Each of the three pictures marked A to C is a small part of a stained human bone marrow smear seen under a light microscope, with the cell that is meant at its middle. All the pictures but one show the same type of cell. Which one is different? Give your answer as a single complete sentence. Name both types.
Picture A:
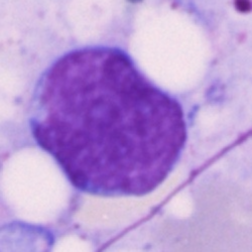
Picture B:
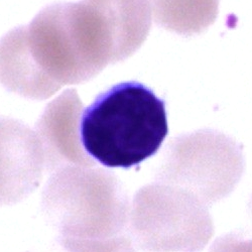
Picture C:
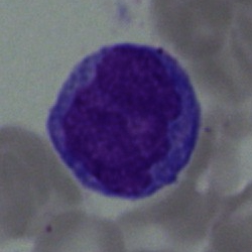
All pictures except B show blasts; picture B shows a lymphocyte.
